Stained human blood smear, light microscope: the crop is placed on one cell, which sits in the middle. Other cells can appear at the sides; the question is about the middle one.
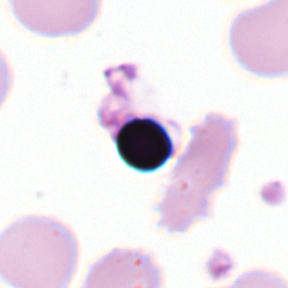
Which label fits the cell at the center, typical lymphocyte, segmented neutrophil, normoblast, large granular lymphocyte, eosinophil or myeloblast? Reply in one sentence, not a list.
In the central position of this crop, the cell is a normoblast.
